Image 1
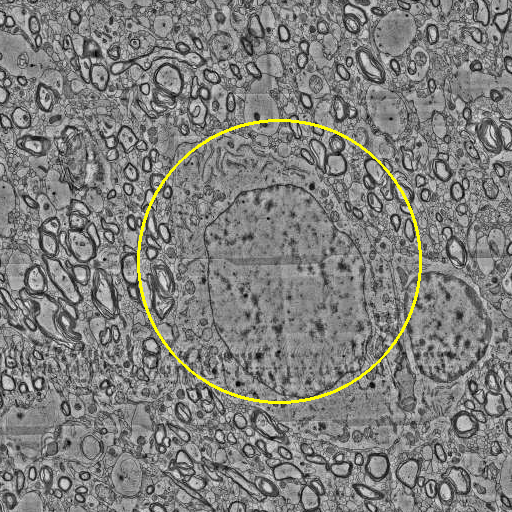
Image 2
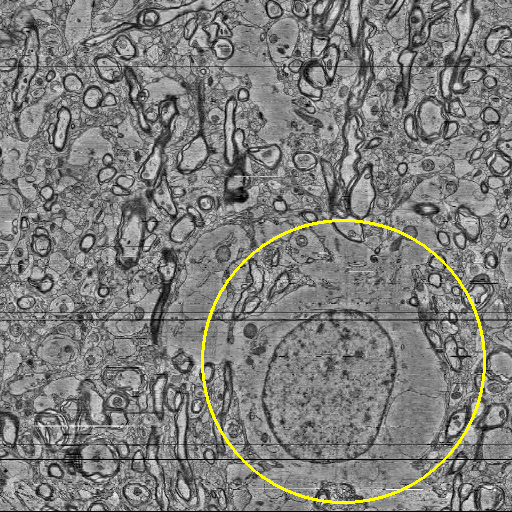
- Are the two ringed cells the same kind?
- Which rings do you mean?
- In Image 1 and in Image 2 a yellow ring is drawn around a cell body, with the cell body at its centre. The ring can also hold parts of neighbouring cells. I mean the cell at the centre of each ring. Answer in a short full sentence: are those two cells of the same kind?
No, the cells are of two kinds.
